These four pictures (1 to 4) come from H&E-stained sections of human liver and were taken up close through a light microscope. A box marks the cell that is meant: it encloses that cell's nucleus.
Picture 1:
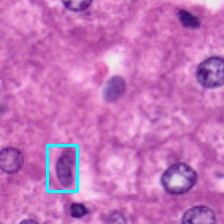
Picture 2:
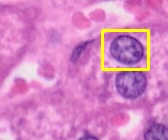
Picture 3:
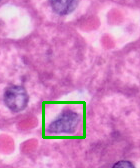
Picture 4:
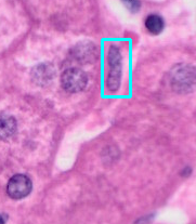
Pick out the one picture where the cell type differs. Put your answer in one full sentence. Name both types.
The different one is picture 2; it shows a hepatocyte, whereas all the others show Kupffer cells.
